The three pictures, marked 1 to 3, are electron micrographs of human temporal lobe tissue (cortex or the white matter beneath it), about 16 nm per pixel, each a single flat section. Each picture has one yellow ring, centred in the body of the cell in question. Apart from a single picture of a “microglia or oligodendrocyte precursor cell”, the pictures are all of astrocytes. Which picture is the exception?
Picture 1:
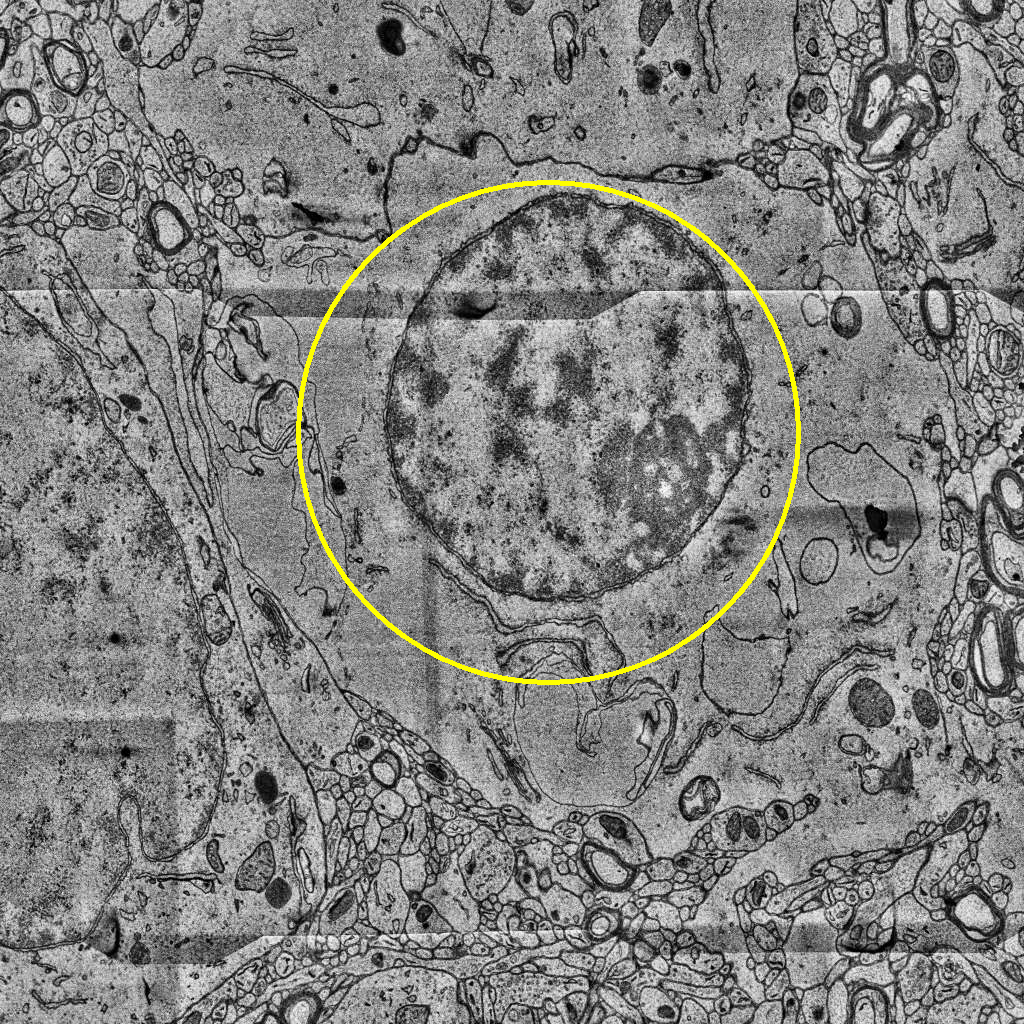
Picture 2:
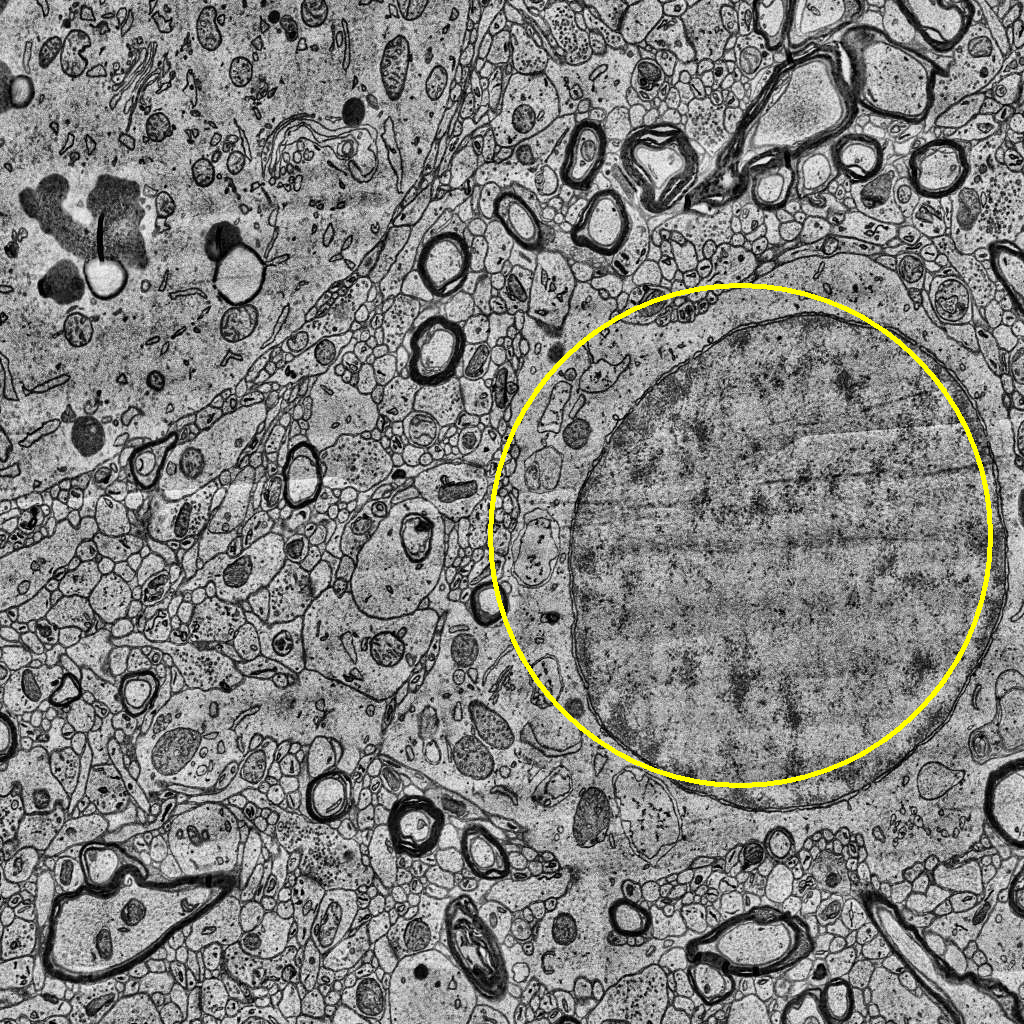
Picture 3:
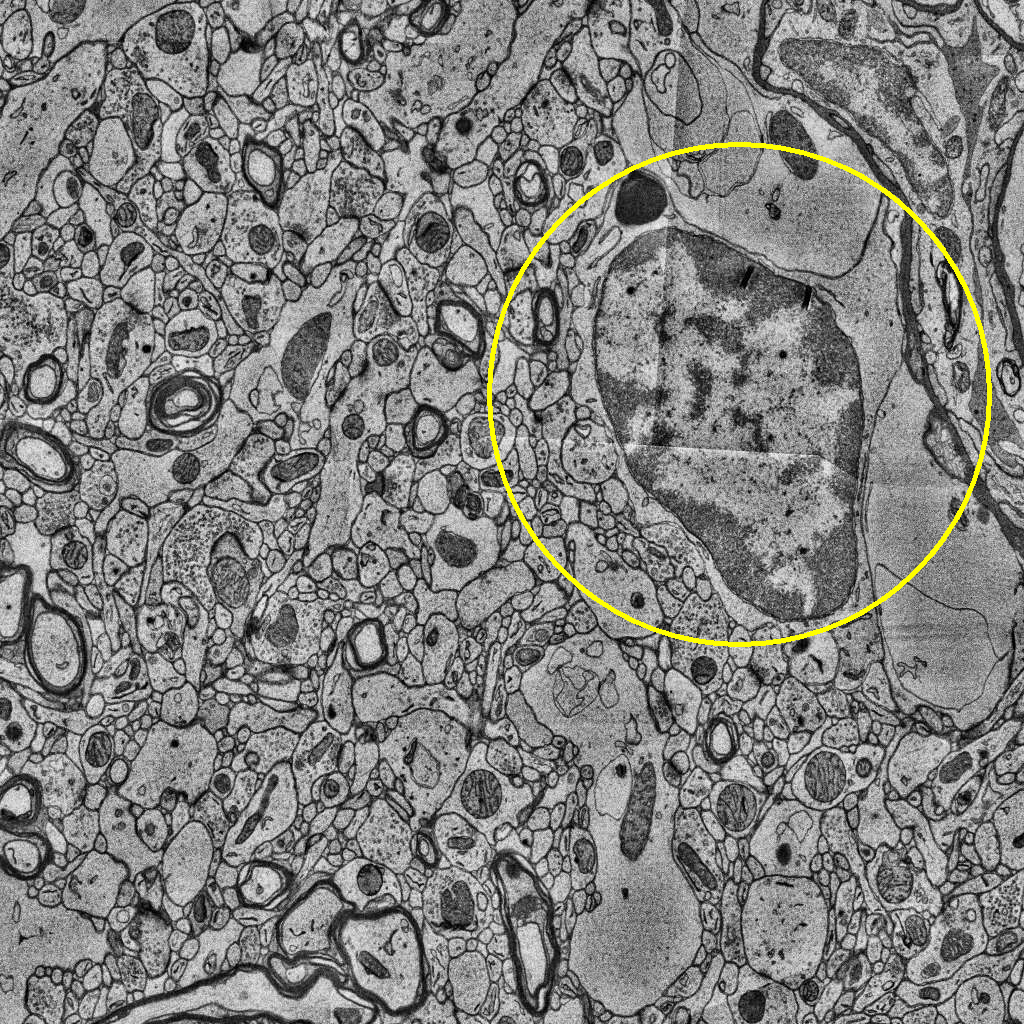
The “microglia or oligodendrocyte precursor cell” is the one in picture 3.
